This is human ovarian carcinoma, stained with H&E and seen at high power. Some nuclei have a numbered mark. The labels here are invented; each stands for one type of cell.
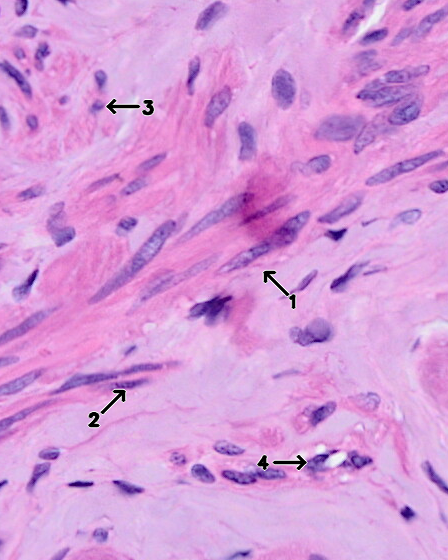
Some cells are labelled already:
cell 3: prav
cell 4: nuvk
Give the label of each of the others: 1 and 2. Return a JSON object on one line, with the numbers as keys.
{"1": "prav", "2": "prav"}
